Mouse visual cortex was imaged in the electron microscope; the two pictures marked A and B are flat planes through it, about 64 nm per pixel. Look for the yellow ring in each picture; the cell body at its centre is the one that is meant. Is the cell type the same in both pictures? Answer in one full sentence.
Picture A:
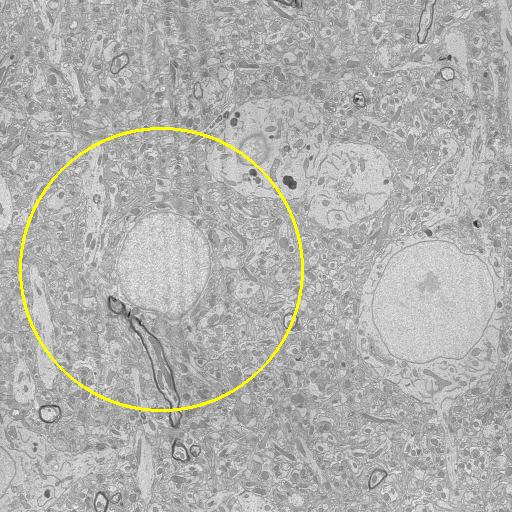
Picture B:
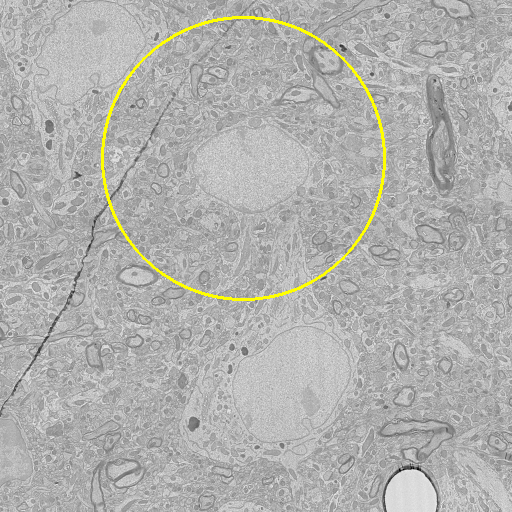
Yes, they are the same type: both are astrocytes.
